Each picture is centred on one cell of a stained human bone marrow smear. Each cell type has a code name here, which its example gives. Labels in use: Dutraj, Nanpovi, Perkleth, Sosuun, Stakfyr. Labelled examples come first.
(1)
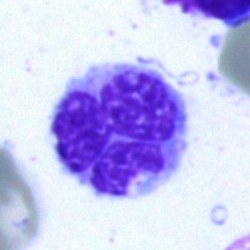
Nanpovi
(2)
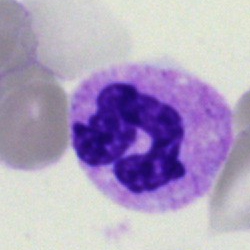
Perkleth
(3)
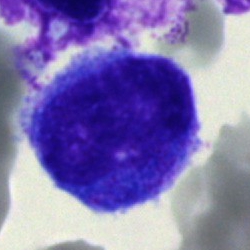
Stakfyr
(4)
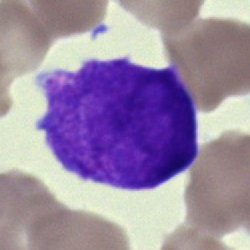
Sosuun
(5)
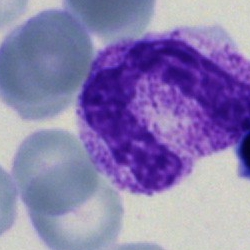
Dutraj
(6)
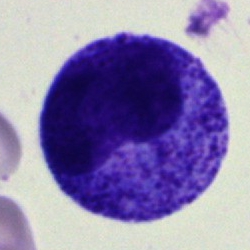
Stakfyr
